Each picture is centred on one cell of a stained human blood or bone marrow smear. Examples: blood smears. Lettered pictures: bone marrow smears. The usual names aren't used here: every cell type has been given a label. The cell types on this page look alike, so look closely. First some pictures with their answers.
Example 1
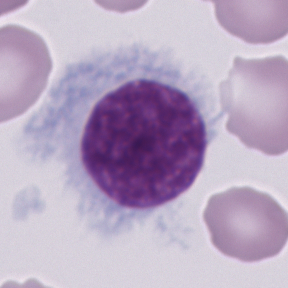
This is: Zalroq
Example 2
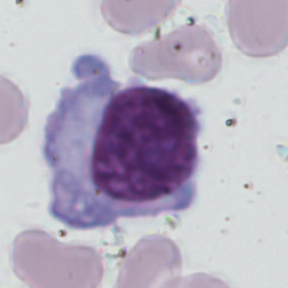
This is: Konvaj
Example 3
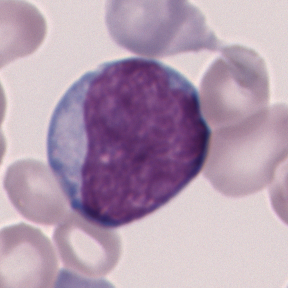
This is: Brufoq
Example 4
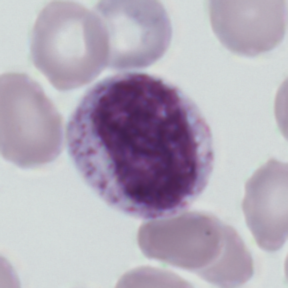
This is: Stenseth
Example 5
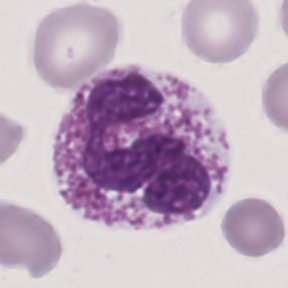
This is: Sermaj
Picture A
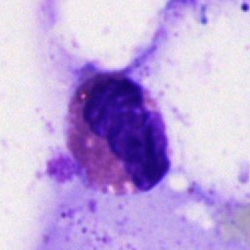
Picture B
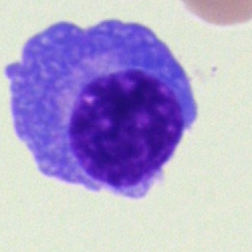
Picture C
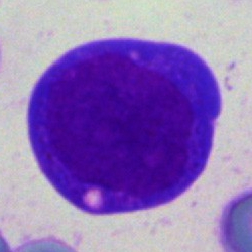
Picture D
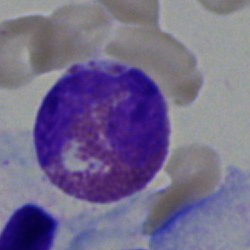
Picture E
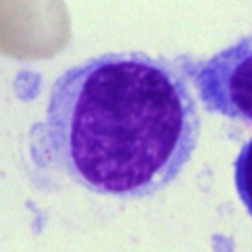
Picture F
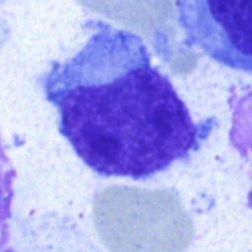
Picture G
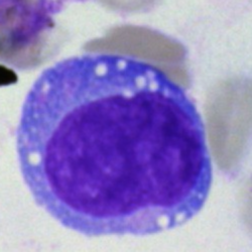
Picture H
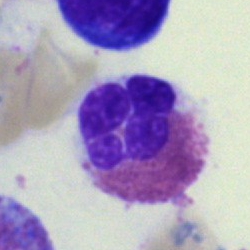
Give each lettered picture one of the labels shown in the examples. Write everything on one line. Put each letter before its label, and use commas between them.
A Sermaj, B Konvaj, C Brufoq, D Sermaj, E Zalroq, F Zalroq, G Brufoq, H Sermaj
